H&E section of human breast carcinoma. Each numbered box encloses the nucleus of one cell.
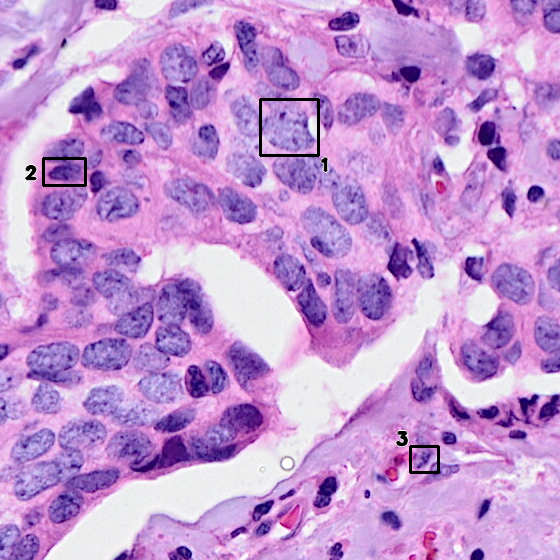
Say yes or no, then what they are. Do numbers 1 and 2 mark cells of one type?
Yes, the cell labelled 1 and the cell labelled 2 are both carcinoma cells.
